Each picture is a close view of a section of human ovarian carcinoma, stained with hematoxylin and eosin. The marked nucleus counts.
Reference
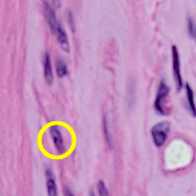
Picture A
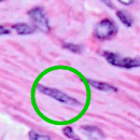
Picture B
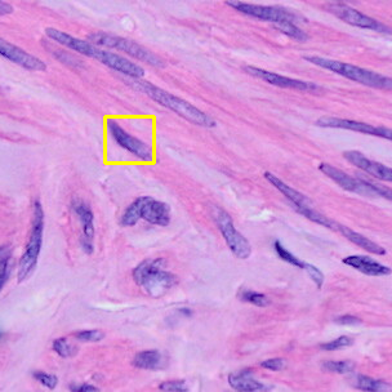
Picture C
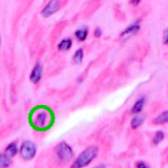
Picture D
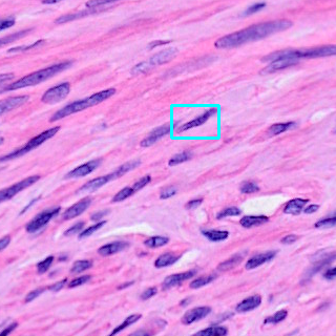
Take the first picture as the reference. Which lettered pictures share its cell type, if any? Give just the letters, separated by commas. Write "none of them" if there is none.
B, C, D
